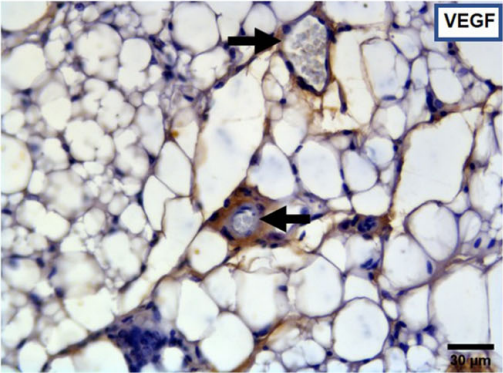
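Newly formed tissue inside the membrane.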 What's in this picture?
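This is adipose tissue in which clear fat cells of widely varying size are packed closely together with thin walls between them. Small blue nuclei are scattered sparsely along the walls, some flattened at the edge of the fat cells. Brown staining lies in the narrow spaces between the fat cells and is strongest in small patches around rounded spaces containing granular material, which resemble small vessels.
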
